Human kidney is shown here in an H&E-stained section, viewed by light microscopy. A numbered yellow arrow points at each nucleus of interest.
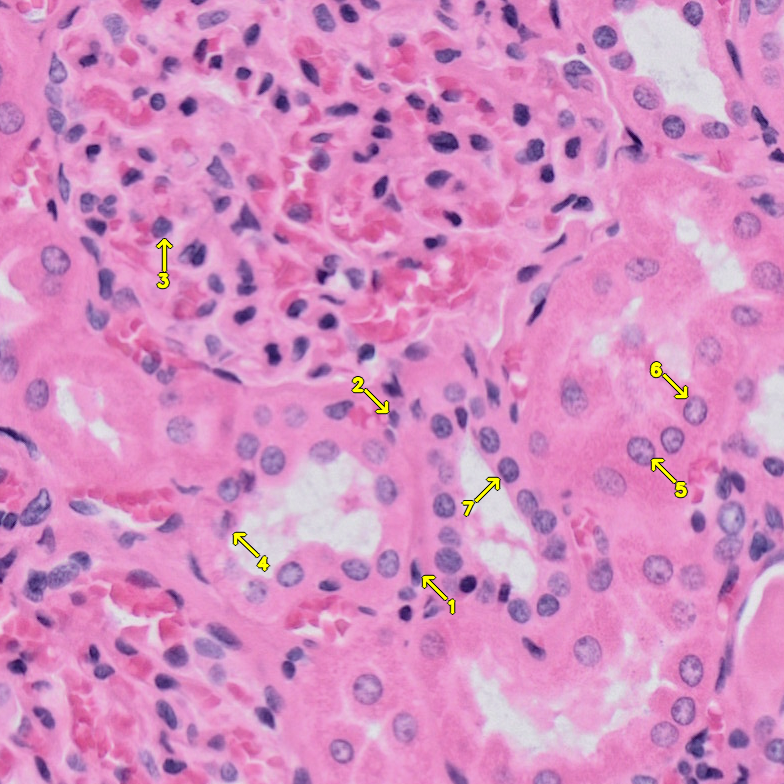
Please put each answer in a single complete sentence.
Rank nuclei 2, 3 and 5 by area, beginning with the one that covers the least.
From smallest to largest, the order is 2, 3, 5.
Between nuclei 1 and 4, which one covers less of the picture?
Number 1 is smaller, since number 4 takes up about 2 times as much area.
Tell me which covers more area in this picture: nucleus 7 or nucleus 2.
Nucleus 7 is the larger one, covering about 3 times the area of nucleus 2.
